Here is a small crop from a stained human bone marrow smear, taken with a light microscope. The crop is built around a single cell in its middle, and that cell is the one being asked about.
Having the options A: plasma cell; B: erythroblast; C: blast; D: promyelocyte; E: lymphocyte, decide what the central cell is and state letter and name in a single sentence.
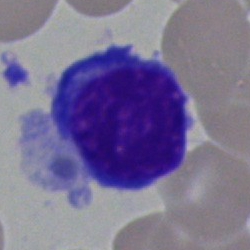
The cell right in the middle is a plasma cell, so option A is the one.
